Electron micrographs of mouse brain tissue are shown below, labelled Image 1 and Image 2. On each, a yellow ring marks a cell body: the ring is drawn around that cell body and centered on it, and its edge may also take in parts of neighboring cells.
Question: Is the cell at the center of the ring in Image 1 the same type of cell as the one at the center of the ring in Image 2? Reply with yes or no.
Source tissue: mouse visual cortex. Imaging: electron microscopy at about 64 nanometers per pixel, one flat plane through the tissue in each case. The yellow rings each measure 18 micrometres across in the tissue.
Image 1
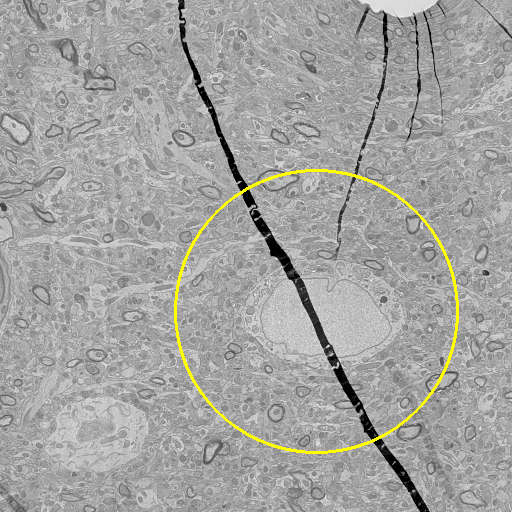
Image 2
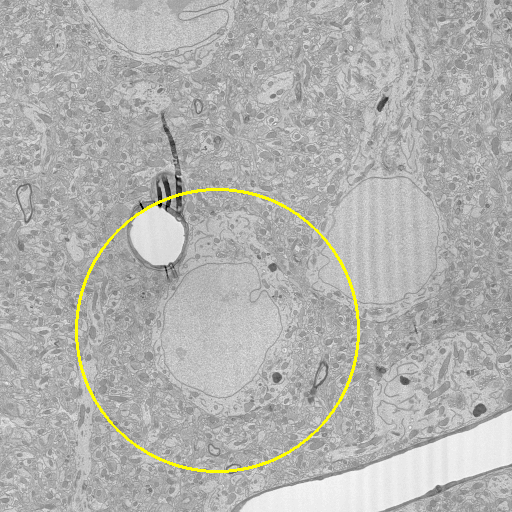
yes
